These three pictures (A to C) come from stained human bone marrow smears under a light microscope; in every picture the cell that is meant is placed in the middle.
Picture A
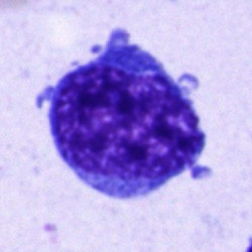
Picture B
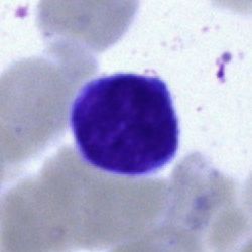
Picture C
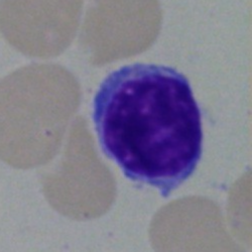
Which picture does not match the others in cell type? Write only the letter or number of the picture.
A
